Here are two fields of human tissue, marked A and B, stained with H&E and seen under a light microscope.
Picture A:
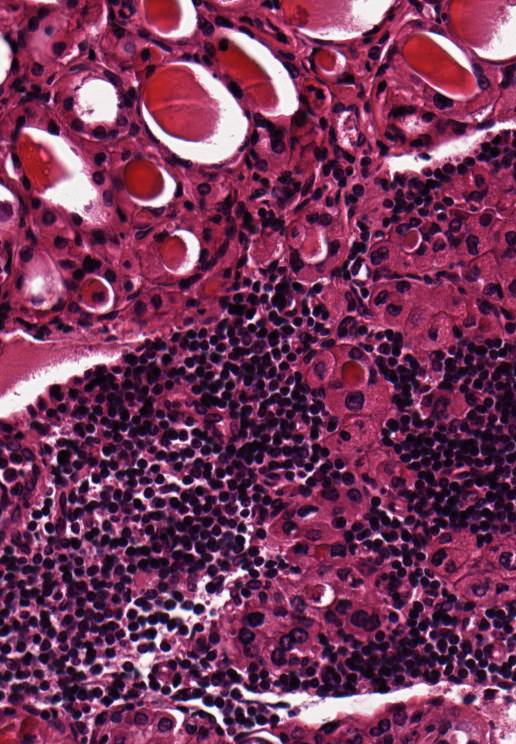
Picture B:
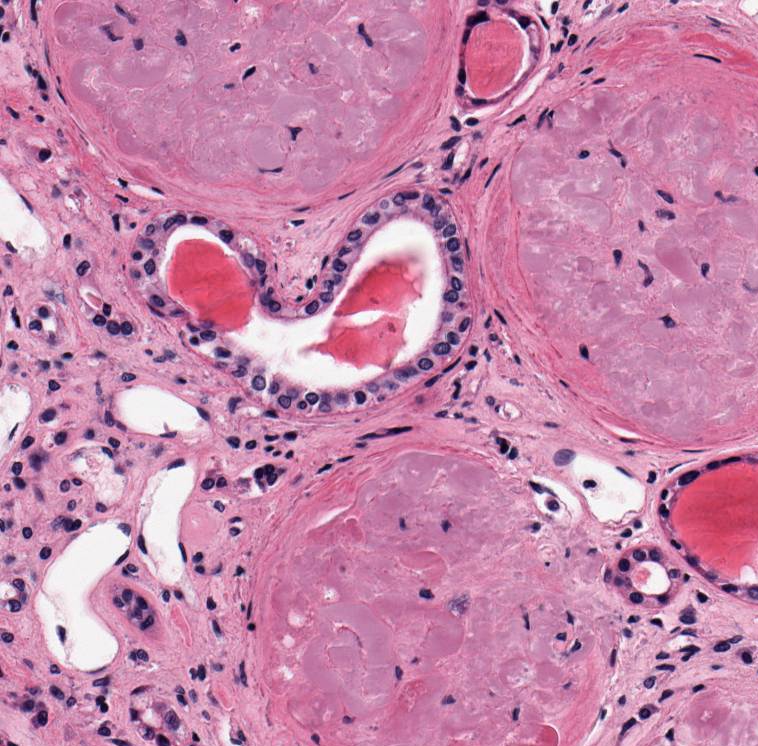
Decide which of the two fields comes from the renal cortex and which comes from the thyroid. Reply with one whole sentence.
Picture B comes from the renal cortex, while picture A comes from the thyroid.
